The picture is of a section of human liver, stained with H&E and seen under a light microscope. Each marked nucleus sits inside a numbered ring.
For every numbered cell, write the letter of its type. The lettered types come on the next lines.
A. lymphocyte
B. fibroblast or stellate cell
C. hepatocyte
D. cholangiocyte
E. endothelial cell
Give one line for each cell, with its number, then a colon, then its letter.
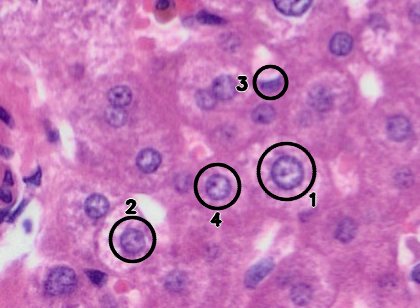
1: C
2: C
3: E
4: C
